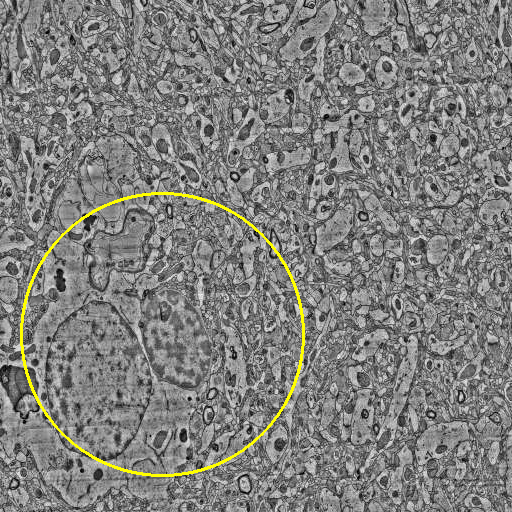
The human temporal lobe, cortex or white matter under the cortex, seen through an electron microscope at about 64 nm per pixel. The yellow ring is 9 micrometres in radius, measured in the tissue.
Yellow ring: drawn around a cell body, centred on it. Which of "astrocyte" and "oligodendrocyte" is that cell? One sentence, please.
That cell body is from an oligodendrocyte.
